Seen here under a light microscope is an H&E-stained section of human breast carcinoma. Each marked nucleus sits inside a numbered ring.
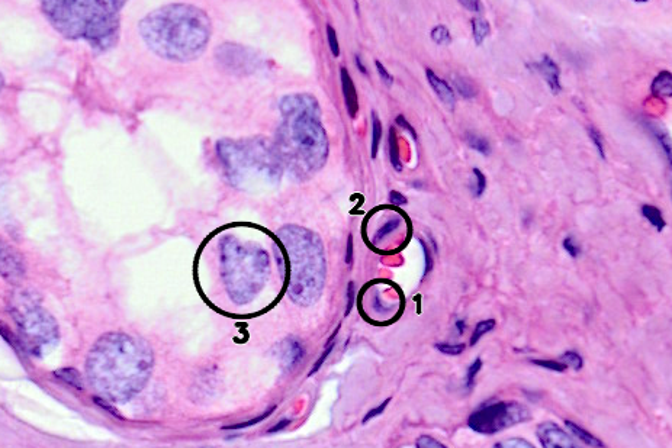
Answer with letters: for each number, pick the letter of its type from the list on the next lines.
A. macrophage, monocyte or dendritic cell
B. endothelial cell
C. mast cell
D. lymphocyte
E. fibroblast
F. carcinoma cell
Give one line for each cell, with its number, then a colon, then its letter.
1: B
2: B
3: F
